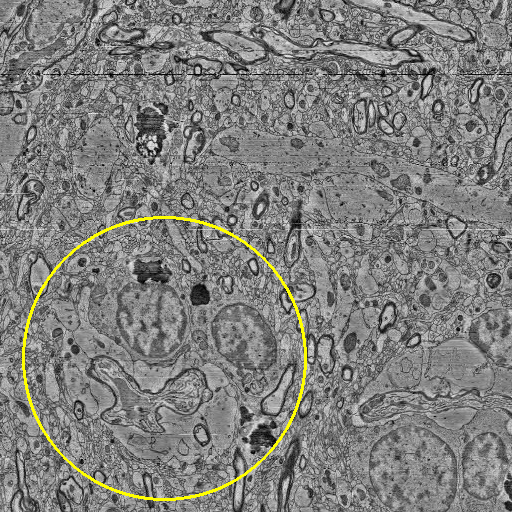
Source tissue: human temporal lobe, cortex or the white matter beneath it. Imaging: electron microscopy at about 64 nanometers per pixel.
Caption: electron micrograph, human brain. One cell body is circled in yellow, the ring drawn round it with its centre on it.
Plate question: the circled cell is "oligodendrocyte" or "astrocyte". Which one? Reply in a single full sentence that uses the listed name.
The yellow ring on the plate is centred on an oligodendrocyte, going by the listed names.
